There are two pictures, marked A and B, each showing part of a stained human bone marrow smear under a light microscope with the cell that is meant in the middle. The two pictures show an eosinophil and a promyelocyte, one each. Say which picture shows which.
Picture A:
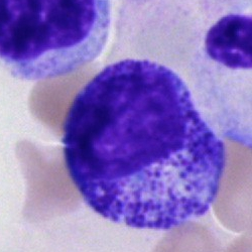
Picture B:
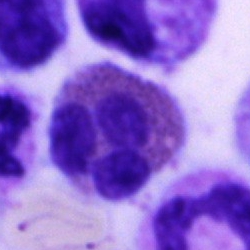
A: promyelocyte
B: eosinophil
